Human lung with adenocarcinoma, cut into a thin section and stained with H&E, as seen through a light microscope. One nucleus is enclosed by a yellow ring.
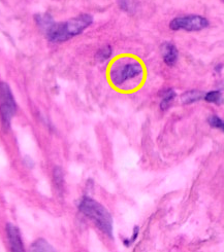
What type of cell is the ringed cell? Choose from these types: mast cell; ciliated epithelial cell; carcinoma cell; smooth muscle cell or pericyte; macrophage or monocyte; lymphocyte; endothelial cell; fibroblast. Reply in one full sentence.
Students should answer that the ringed cell is a smooth muscle cell or pericyte.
